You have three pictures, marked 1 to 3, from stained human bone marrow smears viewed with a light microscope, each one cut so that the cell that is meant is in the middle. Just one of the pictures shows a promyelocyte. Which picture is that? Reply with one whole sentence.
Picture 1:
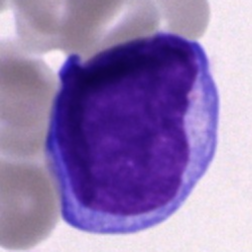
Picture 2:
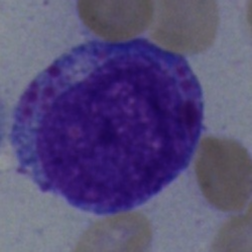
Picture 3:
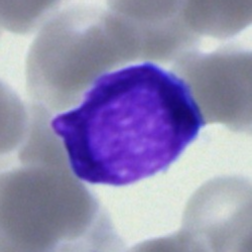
Picture 2 shows the promyelocyte.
